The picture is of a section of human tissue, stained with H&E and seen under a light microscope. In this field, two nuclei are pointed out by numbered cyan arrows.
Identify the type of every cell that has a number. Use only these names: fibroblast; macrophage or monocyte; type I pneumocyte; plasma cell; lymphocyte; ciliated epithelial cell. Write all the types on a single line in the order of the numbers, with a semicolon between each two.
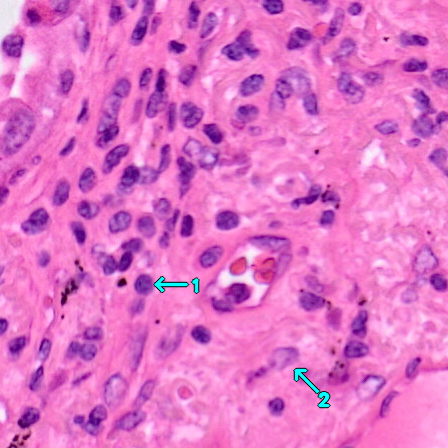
lymphocyte; fibroblast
